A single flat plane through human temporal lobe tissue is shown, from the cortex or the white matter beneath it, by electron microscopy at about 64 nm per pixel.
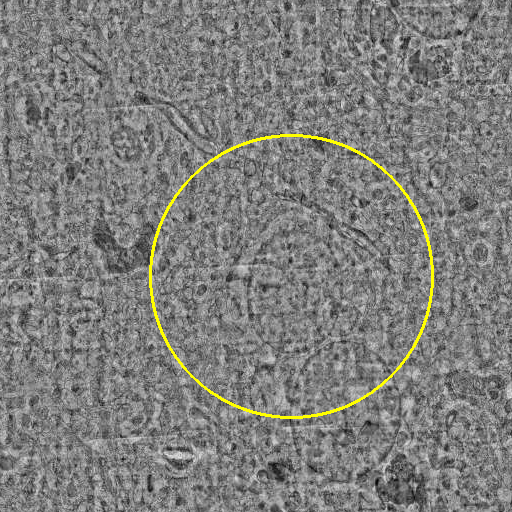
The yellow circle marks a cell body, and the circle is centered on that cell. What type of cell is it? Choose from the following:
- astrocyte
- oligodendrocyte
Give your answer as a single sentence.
This cell body belongs to an astrocyte.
